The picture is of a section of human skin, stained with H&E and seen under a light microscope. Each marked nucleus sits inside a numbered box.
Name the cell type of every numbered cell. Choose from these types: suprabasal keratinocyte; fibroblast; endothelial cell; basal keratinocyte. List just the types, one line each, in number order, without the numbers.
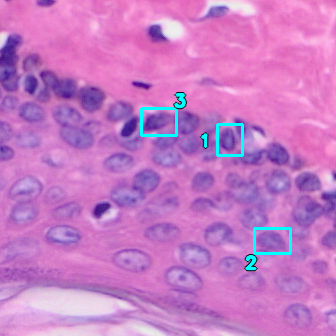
basal keratinocyte
suprabasal keratinocyte
basal keratinocyte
